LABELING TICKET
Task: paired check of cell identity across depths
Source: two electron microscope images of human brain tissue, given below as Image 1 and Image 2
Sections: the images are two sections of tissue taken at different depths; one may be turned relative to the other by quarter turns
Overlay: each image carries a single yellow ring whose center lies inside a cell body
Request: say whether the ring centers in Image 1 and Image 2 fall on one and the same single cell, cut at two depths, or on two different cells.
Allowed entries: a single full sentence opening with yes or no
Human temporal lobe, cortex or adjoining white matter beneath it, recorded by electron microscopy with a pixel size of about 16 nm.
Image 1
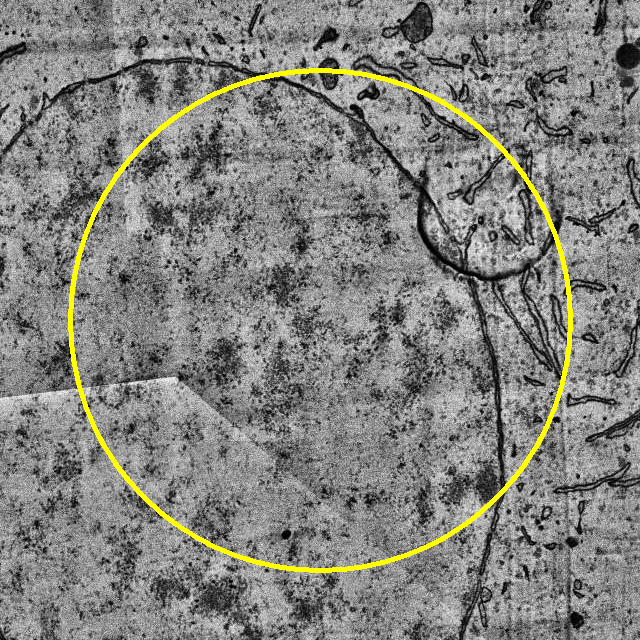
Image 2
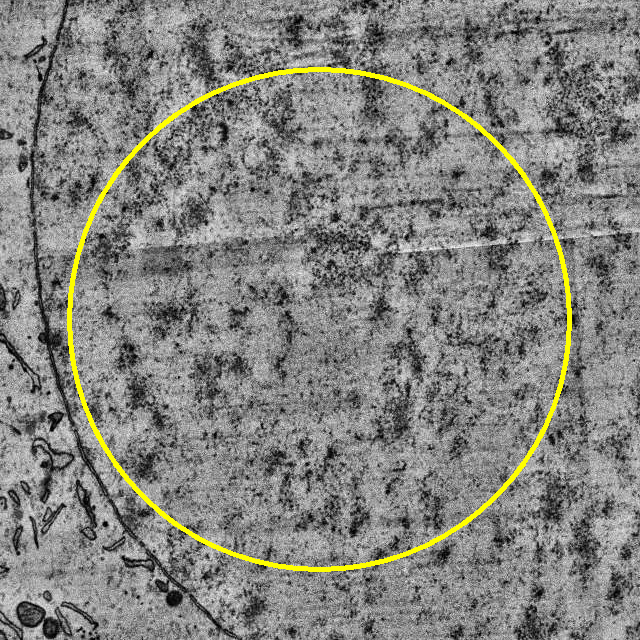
Yes, the cell marked in each ring is one and the same.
